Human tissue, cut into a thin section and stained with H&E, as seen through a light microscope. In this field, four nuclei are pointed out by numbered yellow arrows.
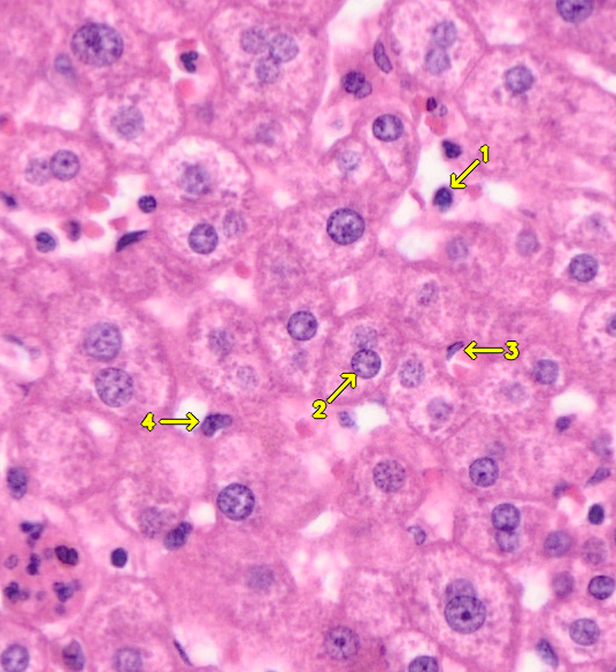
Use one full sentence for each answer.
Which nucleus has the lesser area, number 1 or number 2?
Number 1 is smaller, since number 2 takes up about 1.5 times as much area.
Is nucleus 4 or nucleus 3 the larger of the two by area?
Nucleus 4 is larger, with an area about 2.5 times that of nucleus 3.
